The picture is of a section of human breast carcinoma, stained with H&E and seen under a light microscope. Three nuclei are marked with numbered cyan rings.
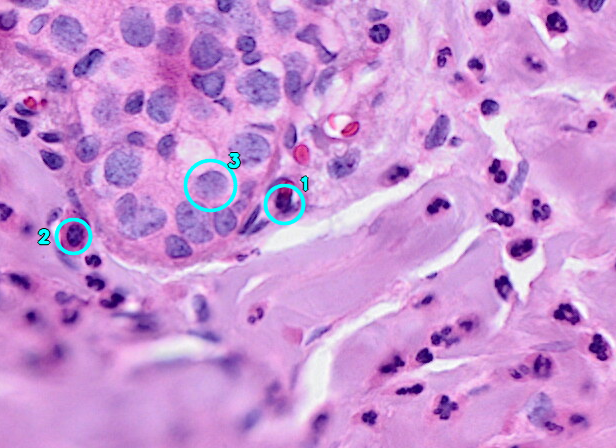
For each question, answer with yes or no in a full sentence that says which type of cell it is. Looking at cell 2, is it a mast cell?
Yes, the cell whose number is 2 is a mast cell.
